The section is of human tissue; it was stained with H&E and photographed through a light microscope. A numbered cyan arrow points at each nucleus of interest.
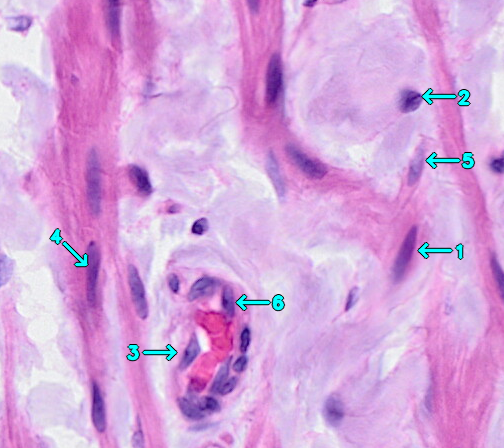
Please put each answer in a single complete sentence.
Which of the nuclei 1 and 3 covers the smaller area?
Nucleus 3 is the smaller one; nucleus 1 covers about 2 times its area.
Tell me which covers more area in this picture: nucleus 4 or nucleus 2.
Nucleus 4 is the larger one, covering about 1.5 times the area of nucleus 2.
